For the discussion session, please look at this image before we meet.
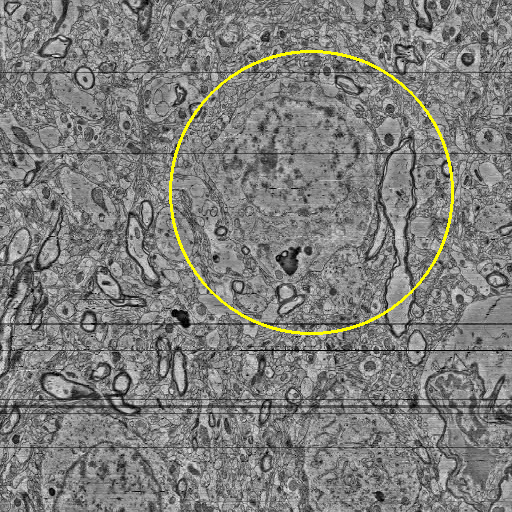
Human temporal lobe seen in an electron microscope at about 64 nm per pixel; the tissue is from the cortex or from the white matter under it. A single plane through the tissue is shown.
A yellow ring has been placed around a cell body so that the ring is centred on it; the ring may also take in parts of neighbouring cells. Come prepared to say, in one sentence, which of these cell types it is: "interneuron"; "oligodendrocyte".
The cell centred in the ring is an interneuron.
